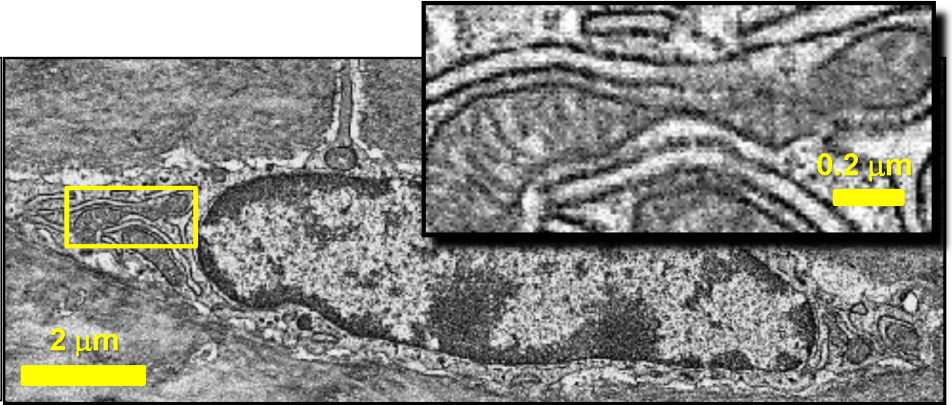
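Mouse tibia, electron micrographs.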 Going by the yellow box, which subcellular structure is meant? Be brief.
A: mitochondria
